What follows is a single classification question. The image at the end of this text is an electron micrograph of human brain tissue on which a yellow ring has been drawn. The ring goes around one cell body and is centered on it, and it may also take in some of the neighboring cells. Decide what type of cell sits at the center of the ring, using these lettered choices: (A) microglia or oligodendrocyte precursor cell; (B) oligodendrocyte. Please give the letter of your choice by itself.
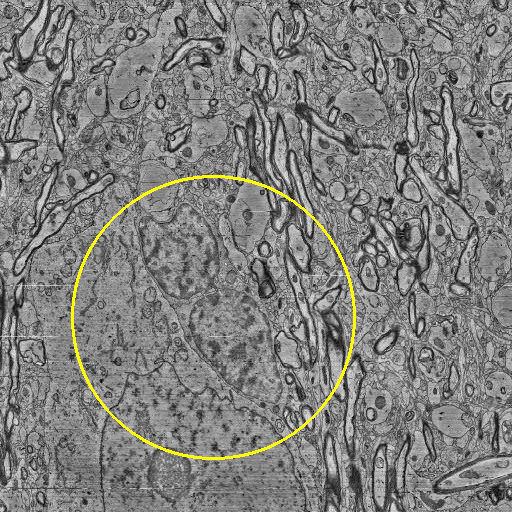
B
